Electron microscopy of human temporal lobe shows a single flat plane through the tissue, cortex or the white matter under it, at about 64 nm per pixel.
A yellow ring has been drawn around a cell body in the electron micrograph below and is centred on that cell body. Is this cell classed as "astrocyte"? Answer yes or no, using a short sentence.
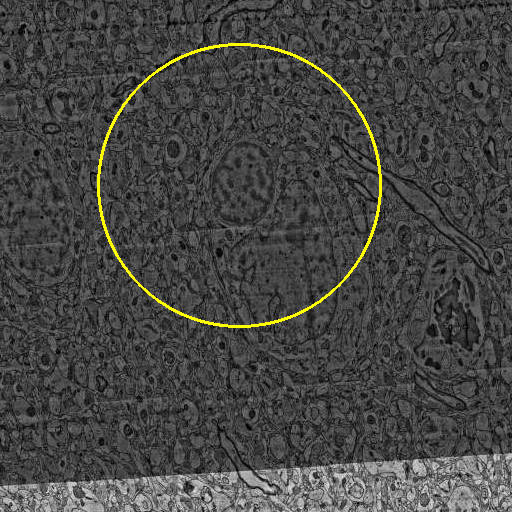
No, it is classed as another kind.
